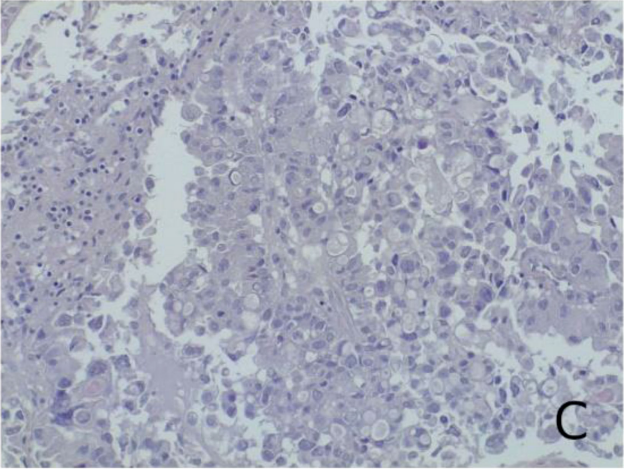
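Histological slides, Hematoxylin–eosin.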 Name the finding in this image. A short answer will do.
Pleomorphic, vacuolated cells.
